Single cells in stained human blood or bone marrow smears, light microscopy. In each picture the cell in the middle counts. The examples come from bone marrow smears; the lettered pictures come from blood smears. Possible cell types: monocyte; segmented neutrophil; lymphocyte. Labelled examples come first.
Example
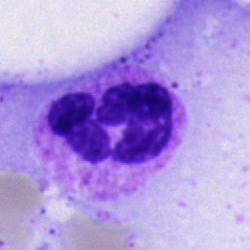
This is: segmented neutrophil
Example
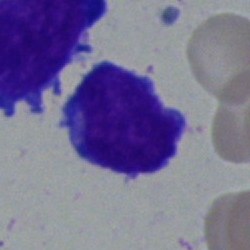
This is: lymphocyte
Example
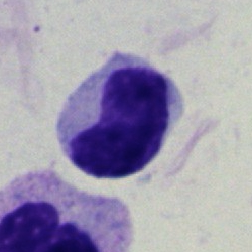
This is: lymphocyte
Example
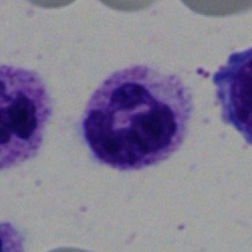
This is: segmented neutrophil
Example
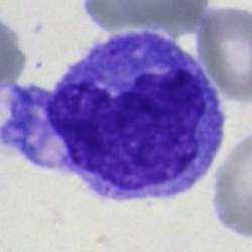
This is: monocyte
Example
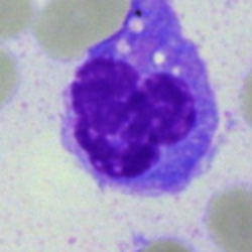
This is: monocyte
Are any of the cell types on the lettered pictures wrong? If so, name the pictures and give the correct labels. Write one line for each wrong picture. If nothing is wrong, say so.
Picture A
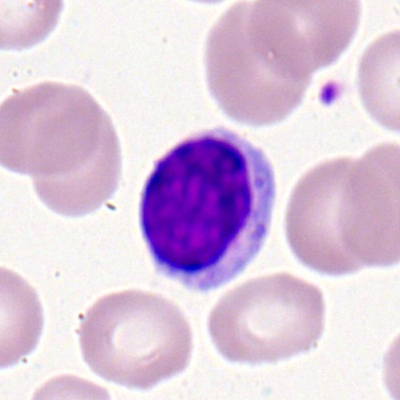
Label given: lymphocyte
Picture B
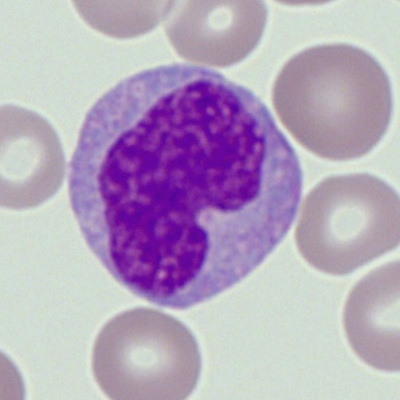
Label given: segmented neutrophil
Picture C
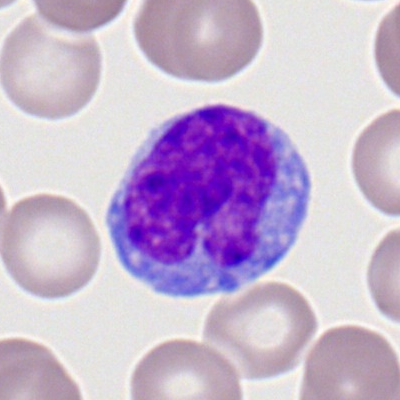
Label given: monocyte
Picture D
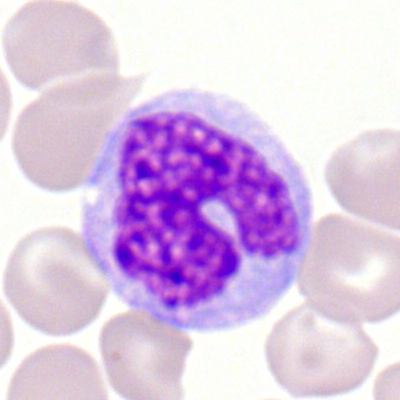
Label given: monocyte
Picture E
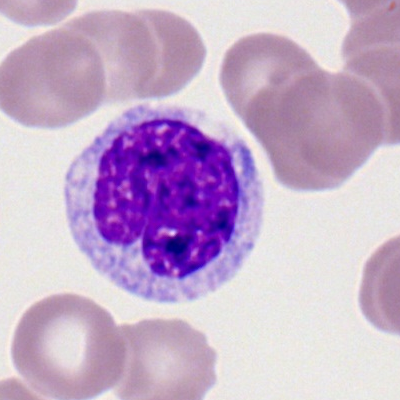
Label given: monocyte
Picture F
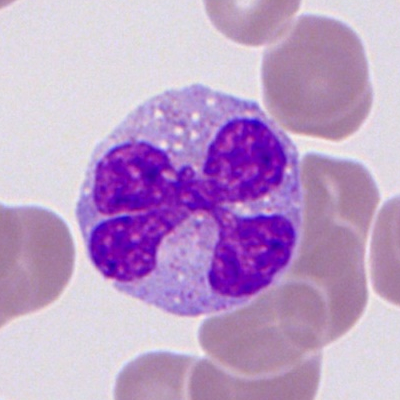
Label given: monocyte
B is labelled segmented neutrophil; correct label: monocyte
